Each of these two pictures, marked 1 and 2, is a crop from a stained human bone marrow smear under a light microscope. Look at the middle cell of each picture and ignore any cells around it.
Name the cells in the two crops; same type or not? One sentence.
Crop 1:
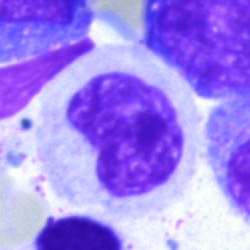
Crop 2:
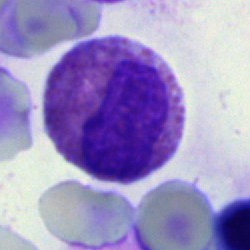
No, crop 1 and crop 2 contain, respectively, a band neutrophil and an eosinophil.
